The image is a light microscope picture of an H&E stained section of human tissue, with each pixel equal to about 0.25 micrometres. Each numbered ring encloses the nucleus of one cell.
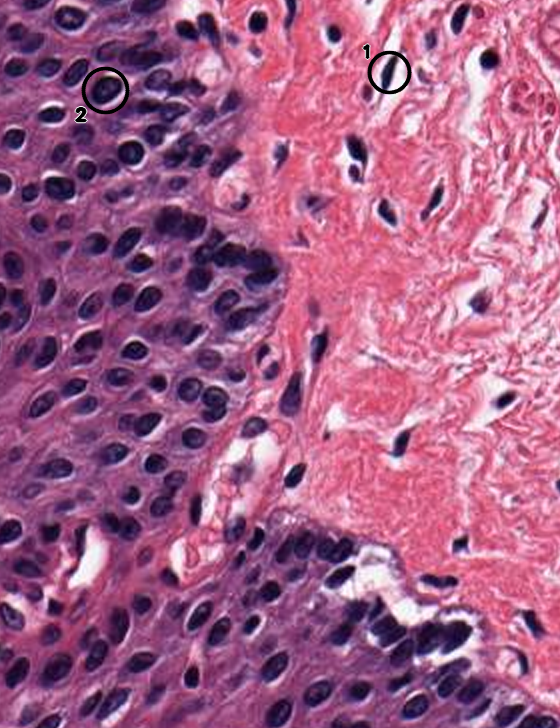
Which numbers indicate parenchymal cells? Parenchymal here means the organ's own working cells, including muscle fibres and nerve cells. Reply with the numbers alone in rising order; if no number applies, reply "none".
2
